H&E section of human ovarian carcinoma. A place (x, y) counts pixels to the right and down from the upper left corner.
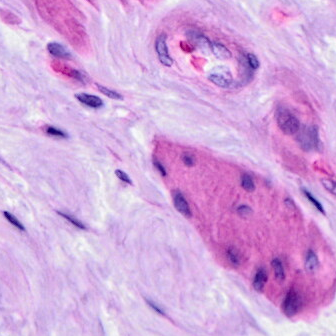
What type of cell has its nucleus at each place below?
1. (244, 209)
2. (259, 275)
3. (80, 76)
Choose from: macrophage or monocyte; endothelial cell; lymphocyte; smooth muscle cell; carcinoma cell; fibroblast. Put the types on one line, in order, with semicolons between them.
smooth muscle cell; smooth muscle cell; endothelial cell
